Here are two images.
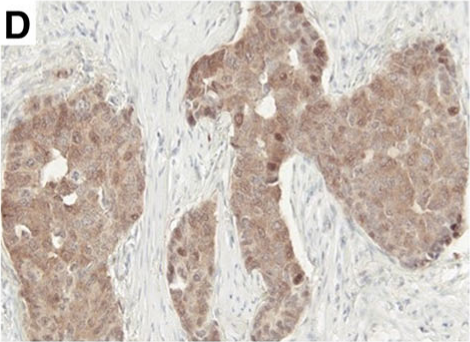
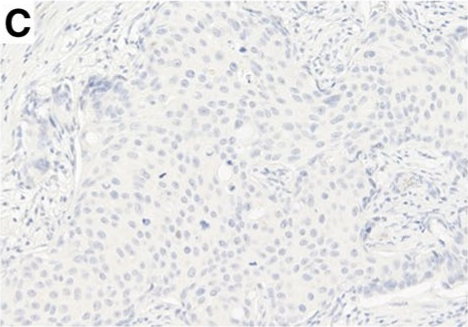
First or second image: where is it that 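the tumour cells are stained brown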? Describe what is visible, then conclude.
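The first image. First image: tumour nests are diffusely brown. Second image: tumour cells show only blue nuclei on a pale background, no brown.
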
